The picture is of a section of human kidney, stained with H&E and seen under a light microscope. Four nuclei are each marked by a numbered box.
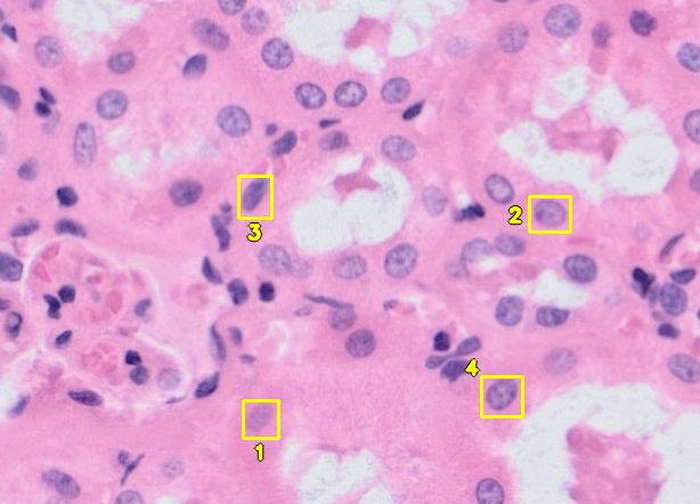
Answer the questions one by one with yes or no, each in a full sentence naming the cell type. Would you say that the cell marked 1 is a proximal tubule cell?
Yes, the cell distinguished by number 1 is a proximal tubule cell.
